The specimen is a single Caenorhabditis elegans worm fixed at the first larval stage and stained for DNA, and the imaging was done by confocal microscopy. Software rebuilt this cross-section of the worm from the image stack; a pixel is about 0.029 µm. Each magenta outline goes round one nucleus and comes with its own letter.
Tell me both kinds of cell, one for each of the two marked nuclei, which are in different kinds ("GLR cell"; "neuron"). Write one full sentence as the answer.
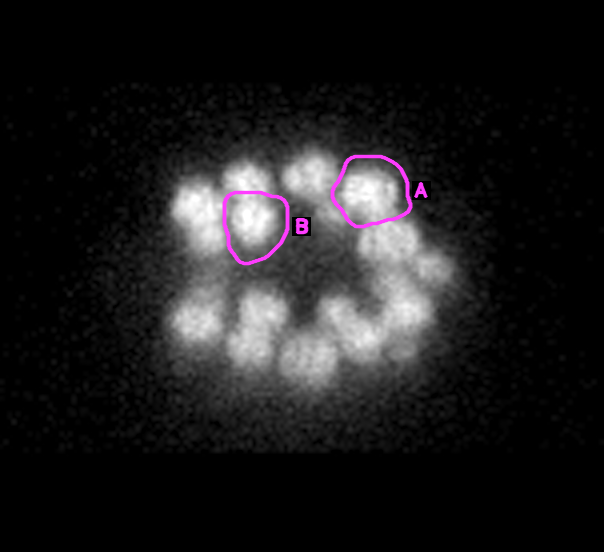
The nucleus A is that of a neuron, while B is that of a GLR cell.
